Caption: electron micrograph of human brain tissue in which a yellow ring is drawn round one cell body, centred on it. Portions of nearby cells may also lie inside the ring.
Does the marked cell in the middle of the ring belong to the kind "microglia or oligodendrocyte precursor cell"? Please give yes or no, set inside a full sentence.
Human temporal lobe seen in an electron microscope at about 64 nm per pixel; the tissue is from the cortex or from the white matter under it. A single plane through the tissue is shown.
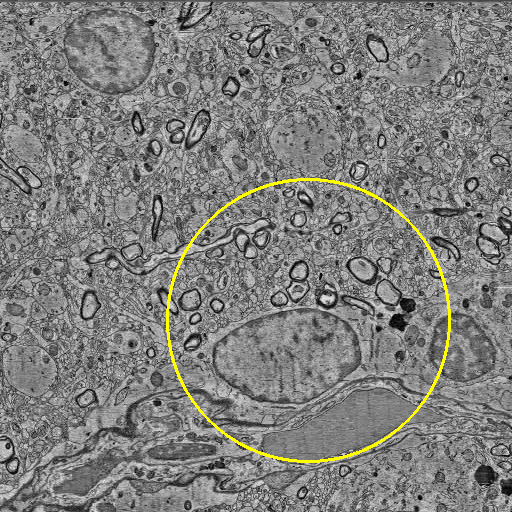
Yes, the marked cell that the ring is centred on in the picture is of that kind.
